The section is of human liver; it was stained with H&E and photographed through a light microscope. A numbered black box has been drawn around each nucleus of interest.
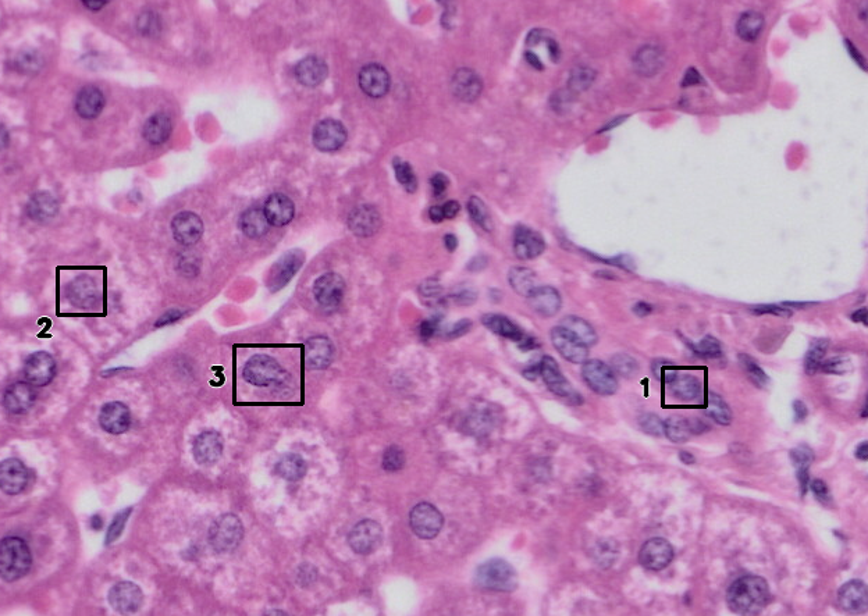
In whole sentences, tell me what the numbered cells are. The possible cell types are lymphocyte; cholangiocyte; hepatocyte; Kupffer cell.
Cell 1 is a cholangiocyte. Cells 2 and 3 are hepatocytes.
